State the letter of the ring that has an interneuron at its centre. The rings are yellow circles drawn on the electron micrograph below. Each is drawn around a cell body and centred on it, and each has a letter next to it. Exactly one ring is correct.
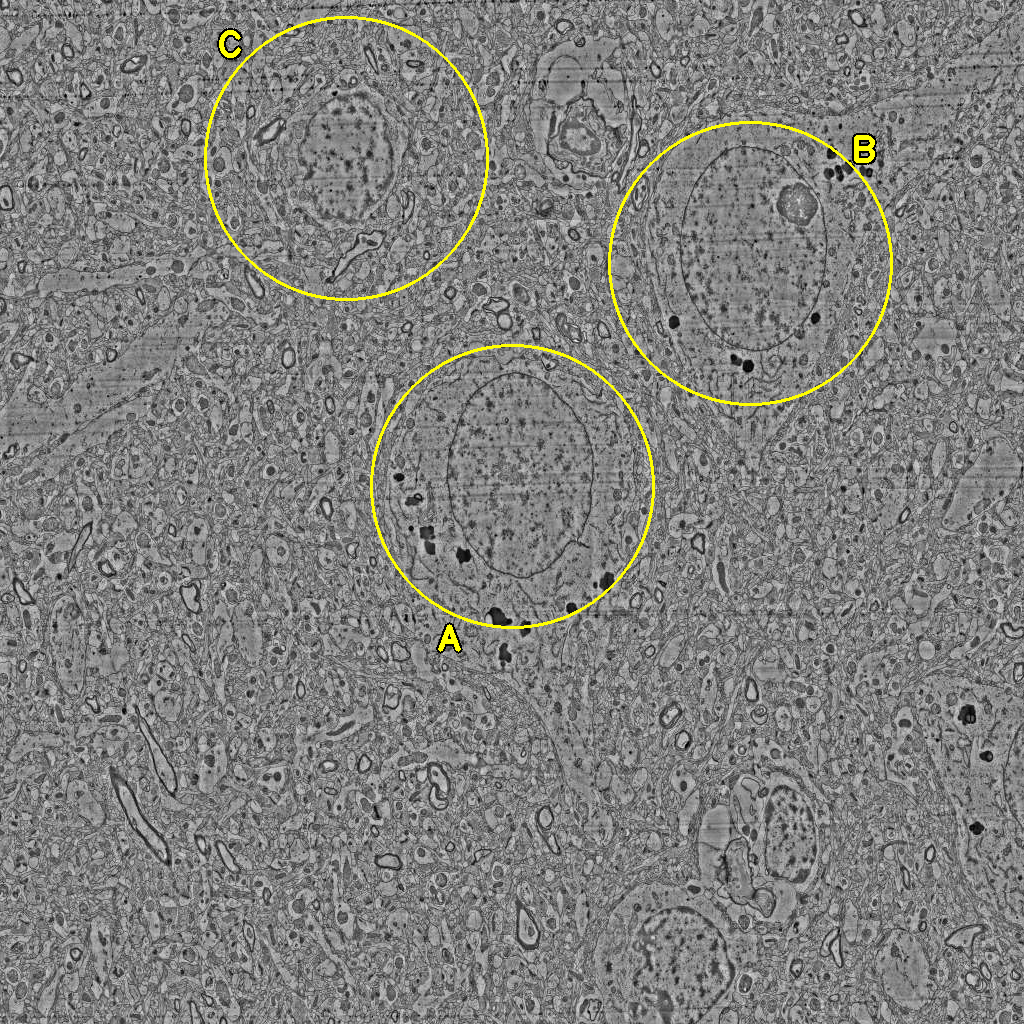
C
